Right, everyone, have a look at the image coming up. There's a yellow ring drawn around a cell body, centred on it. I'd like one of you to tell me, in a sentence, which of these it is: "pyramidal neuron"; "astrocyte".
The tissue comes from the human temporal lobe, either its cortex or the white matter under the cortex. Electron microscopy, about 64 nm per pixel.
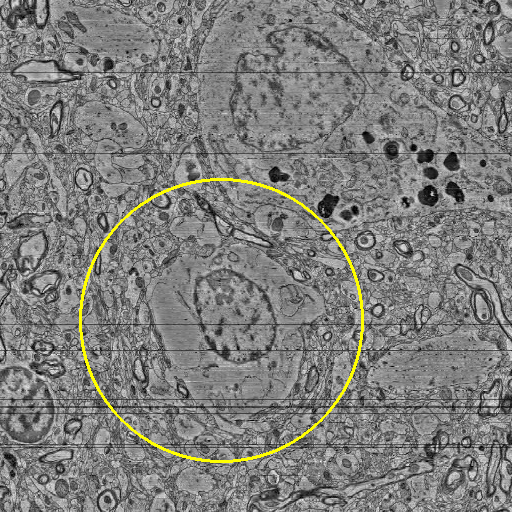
The yellow ring sits on an astrocyte.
